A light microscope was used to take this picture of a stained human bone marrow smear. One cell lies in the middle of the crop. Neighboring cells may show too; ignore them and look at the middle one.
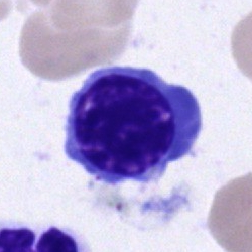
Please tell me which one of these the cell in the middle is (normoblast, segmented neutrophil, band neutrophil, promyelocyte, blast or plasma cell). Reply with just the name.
normoblast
